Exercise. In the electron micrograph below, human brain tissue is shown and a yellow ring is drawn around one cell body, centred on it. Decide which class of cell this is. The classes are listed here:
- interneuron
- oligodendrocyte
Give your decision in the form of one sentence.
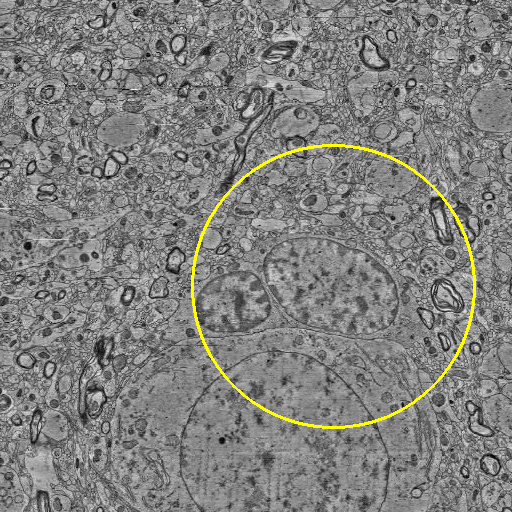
The cell body marked by the ring belongs to an oligodendrocyte.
